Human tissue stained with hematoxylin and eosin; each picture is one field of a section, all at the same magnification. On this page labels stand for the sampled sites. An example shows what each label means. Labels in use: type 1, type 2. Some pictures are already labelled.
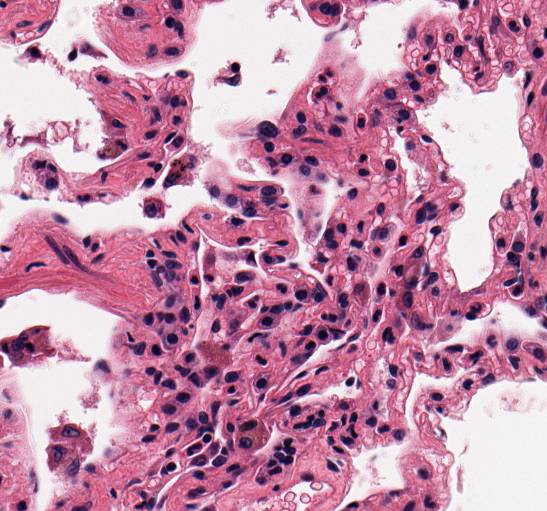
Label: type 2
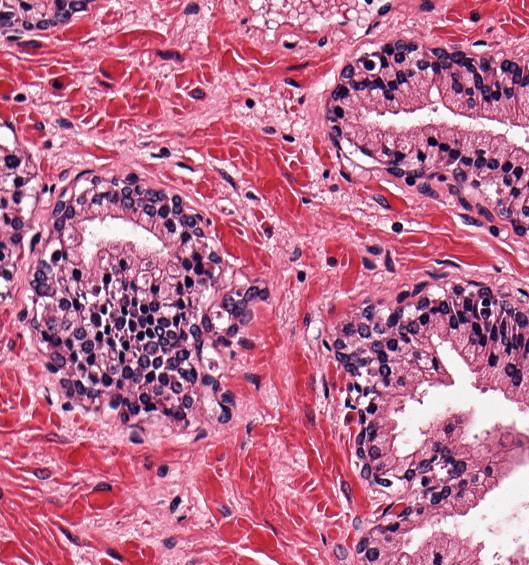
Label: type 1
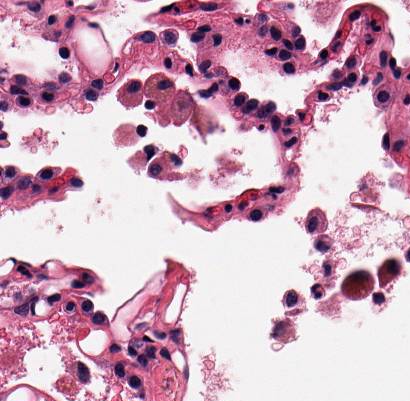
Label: type 2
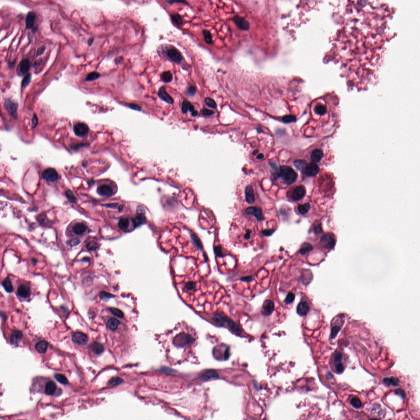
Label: type 2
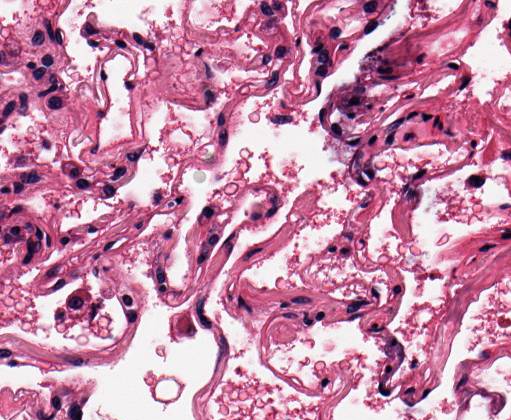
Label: type 2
